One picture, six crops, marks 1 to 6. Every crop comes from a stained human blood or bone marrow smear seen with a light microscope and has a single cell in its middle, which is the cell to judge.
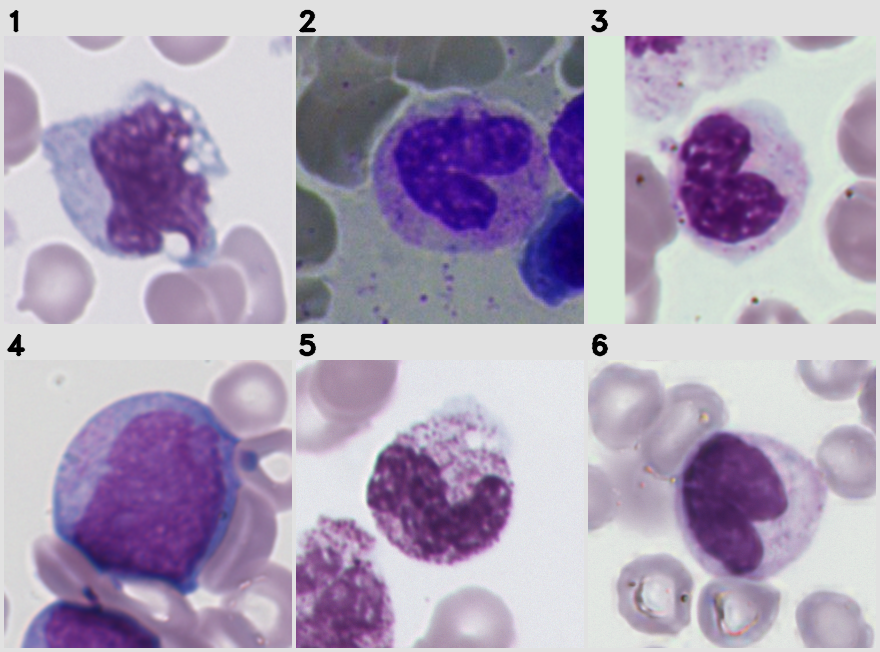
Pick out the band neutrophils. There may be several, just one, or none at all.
2, 3, 5, 6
